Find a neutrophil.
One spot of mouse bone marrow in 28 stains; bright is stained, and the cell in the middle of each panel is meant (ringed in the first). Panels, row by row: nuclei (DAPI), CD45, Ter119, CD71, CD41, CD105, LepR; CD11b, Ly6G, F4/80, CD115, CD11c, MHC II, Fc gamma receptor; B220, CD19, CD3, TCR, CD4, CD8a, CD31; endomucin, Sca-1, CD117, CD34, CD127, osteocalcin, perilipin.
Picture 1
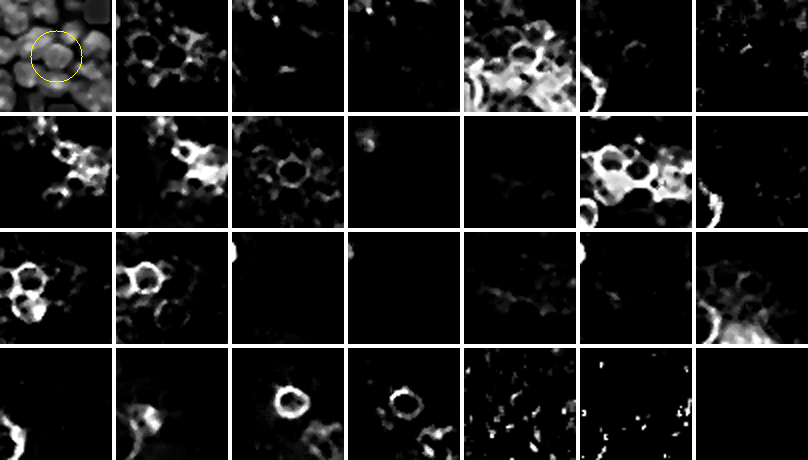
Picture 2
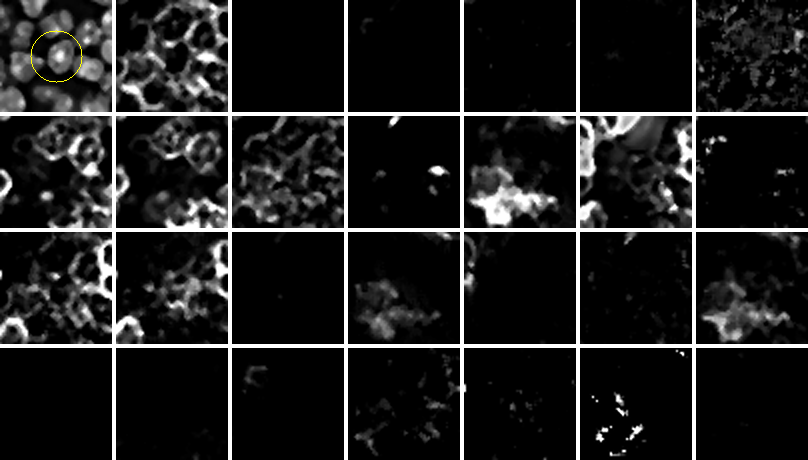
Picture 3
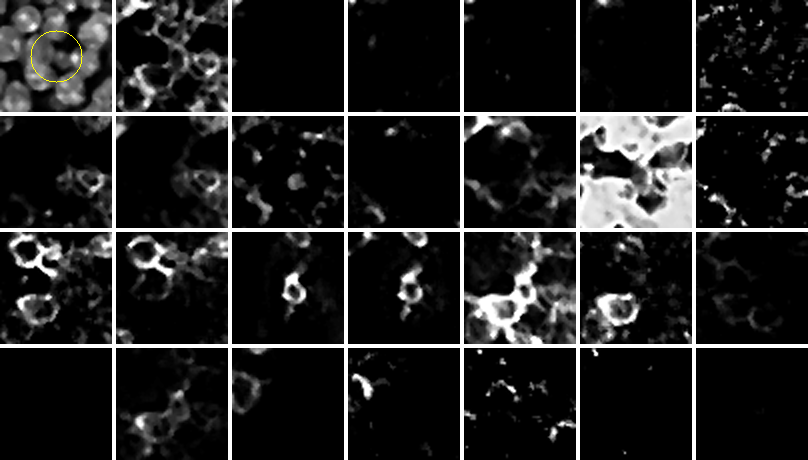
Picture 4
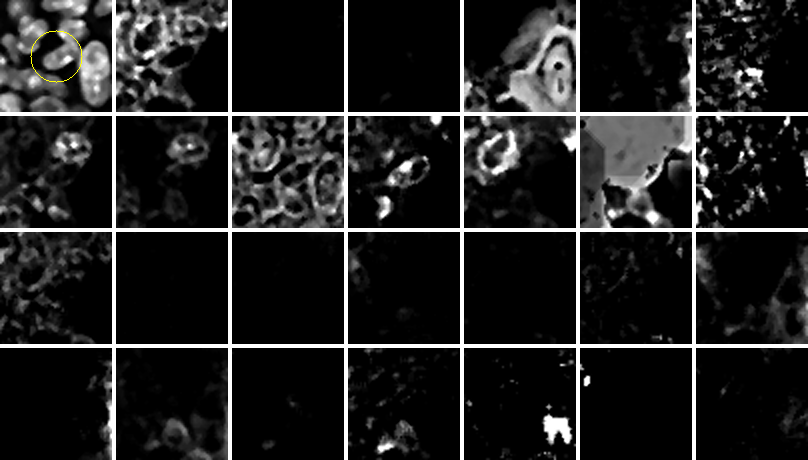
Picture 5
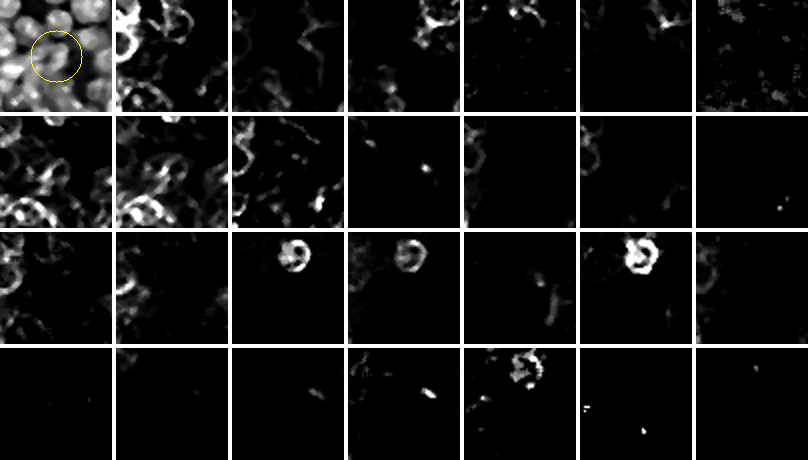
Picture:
5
